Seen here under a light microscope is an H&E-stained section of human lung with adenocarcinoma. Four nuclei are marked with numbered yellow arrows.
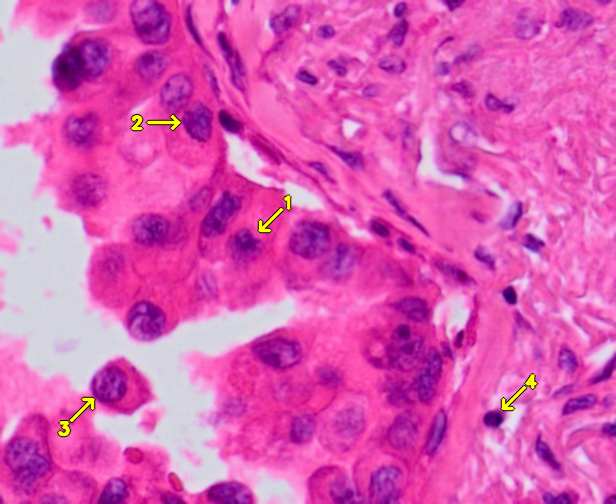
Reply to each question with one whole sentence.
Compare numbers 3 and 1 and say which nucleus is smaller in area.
The smaller nucleus is 1, and 3 covers roughly 1.5 times its area.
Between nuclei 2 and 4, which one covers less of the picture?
The smaller nucleus is 4, and 2 covers roughly 2.5 times its area.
